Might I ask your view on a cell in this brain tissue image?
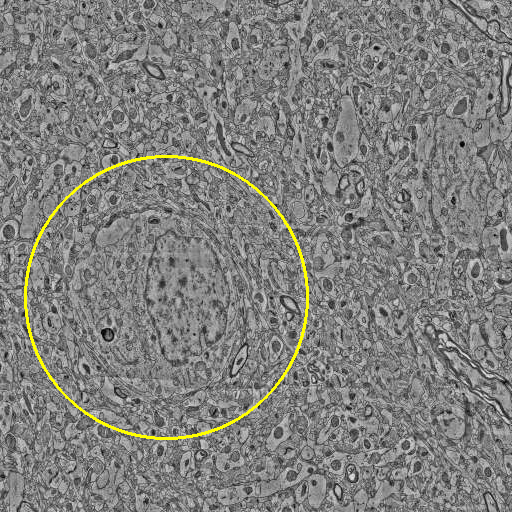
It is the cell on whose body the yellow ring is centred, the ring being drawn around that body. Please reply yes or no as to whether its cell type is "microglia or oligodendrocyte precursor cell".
no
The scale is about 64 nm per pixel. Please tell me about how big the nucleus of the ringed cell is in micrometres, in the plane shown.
About 8 by 5 micrometres in this plane; clearly longer than it is wide.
